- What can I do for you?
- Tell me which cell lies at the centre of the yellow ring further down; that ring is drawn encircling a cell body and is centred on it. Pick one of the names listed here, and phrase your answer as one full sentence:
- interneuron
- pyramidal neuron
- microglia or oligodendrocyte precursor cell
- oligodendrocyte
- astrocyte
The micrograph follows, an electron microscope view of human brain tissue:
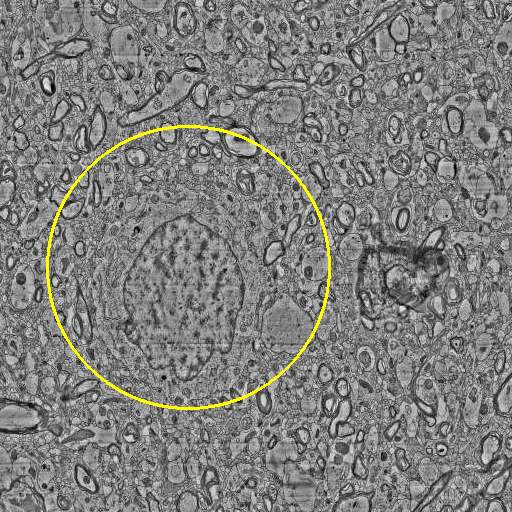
The cell whose body lies at the centre of the yellow ring is an interneuron.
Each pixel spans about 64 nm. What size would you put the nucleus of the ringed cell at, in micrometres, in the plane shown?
Roughly 10 micrometres by 8 micrometres, in this plane.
